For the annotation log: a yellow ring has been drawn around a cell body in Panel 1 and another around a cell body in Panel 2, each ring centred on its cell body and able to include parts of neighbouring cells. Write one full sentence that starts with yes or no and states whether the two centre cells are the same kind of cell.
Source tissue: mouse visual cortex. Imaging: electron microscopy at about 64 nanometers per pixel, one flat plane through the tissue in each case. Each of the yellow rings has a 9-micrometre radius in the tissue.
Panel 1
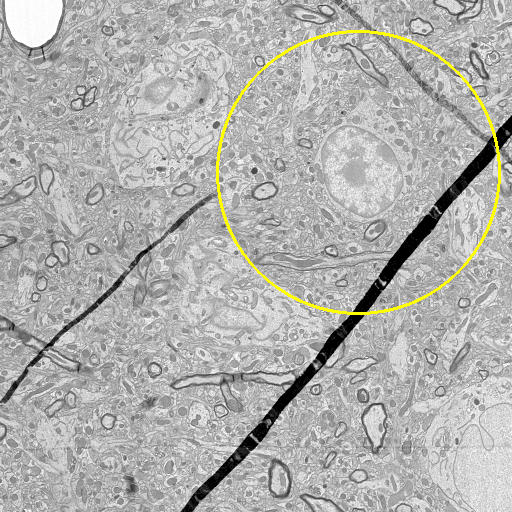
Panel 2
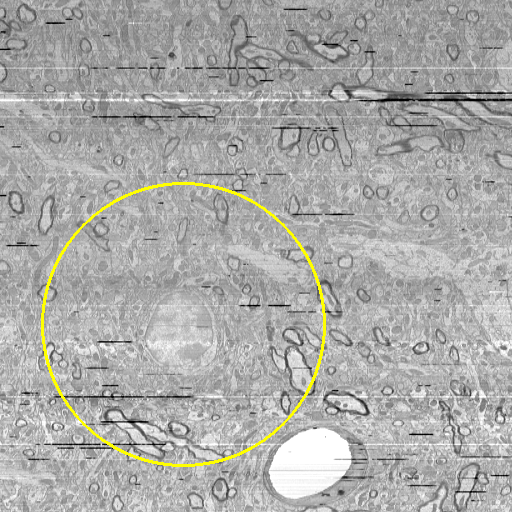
Yes, the two centre cells are the same kind of cell.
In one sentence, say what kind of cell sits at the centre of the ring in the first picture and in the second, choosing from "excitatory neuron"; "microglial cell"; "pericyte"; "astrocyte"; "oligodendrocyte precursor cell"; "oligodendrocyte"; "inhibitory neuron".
Each of the two cells is an oligodendrocyte.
